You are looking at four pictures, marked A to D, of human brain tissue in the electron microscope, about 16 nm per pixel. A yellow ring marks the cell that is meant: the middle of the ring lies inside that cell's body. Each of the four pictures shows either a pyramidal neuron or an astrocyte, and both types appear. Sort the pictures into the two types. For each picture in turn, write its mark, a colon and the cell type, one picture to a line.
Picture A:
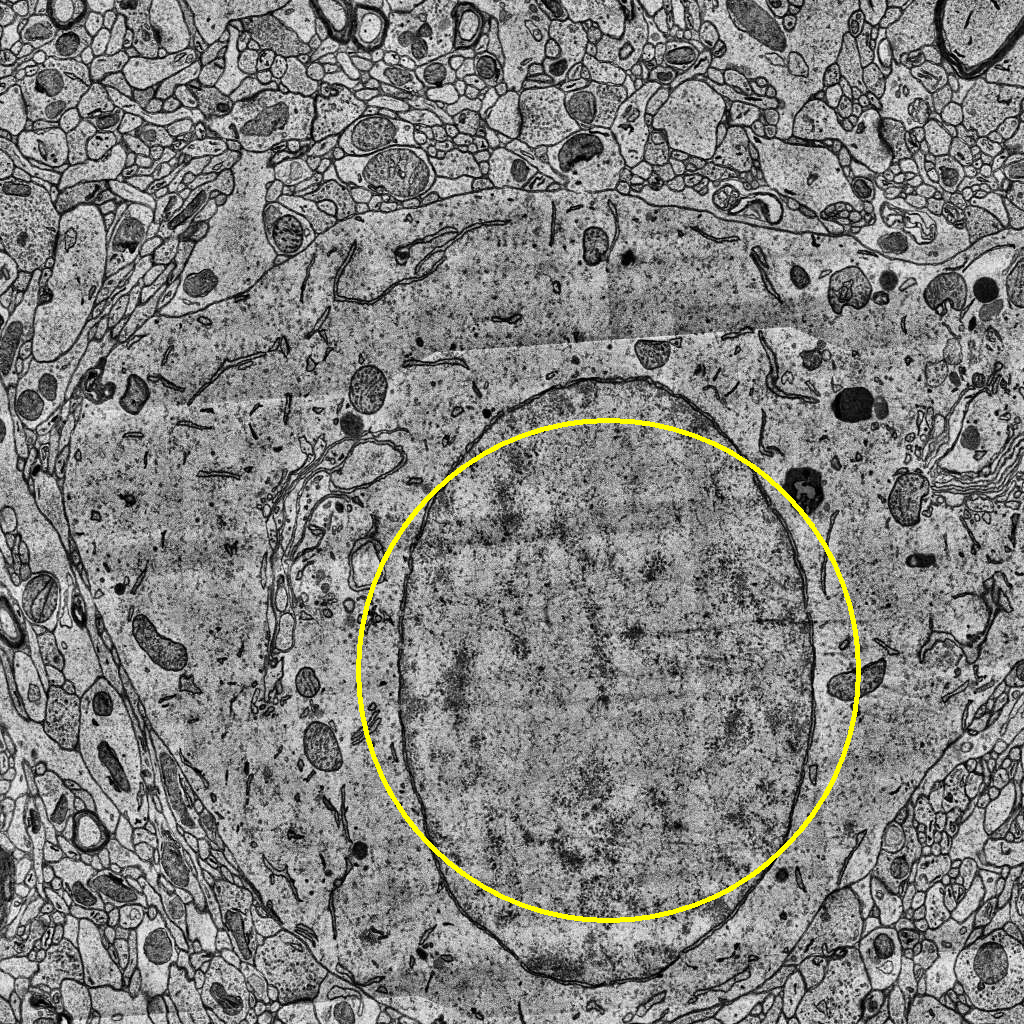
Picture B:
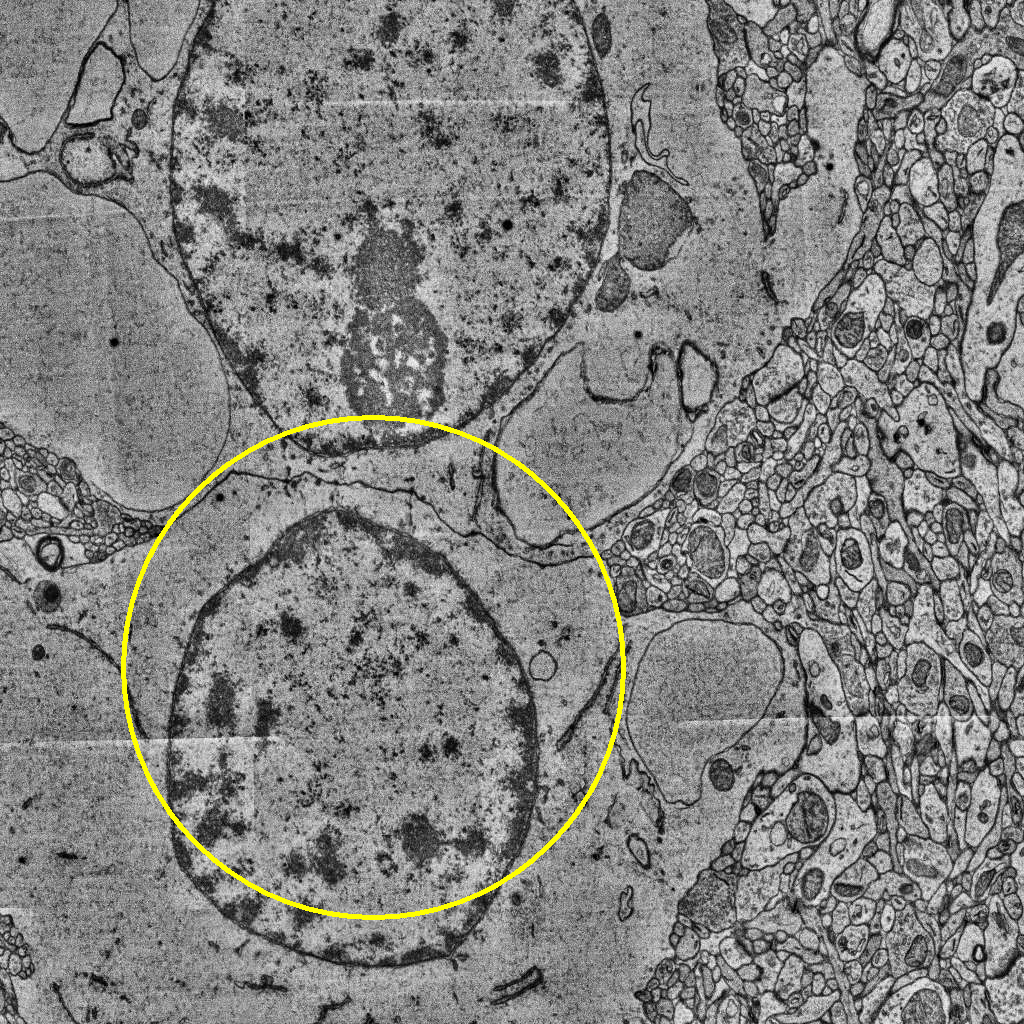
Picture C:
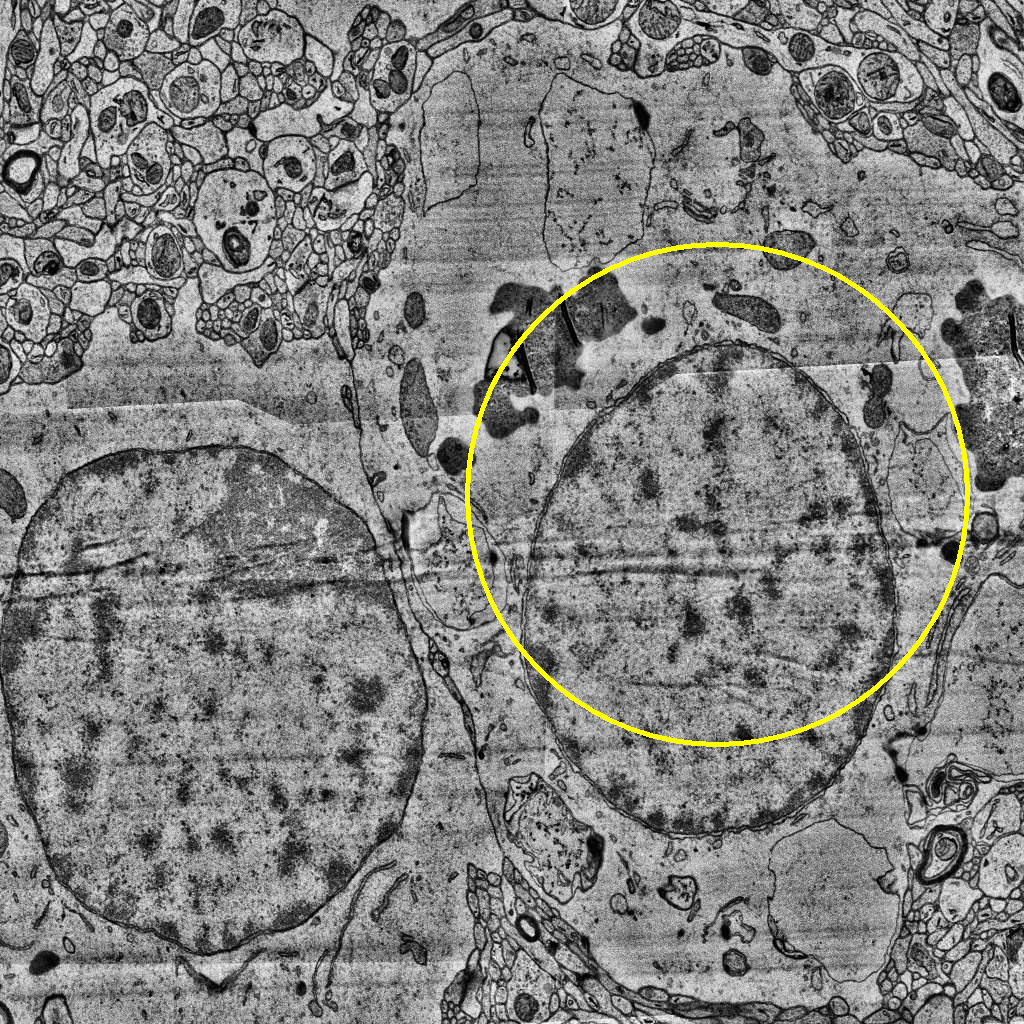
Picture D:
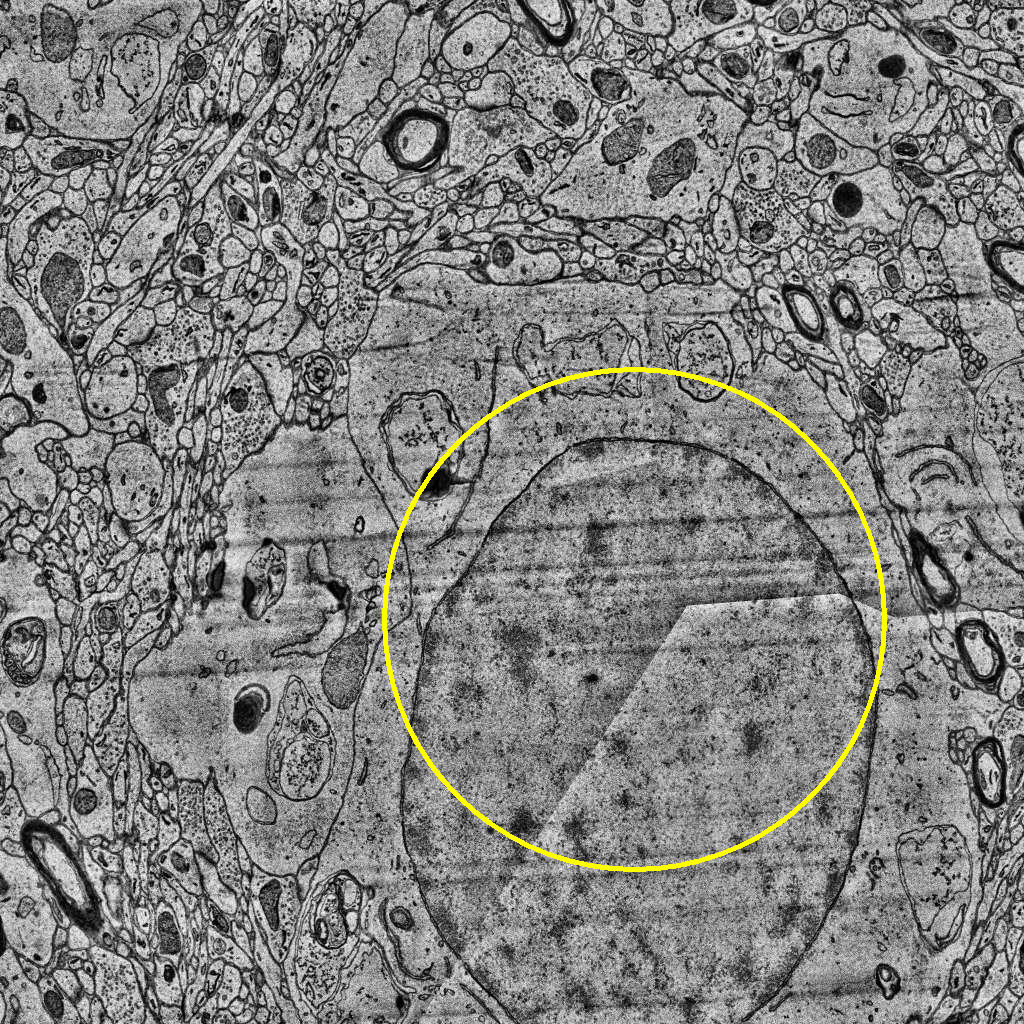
A: pyramidal neuron
B: astrocyte
C: astrocyte
D: astrocyte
